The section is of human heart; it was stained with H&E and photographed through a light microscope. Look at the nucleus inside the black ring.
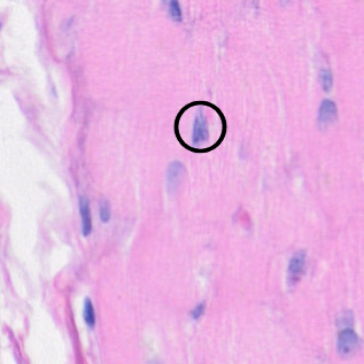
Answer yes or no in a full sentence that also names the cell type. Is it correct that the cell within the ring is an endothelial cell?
Yes, classifying the cell within the ring as an endothelial cell is accurate.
